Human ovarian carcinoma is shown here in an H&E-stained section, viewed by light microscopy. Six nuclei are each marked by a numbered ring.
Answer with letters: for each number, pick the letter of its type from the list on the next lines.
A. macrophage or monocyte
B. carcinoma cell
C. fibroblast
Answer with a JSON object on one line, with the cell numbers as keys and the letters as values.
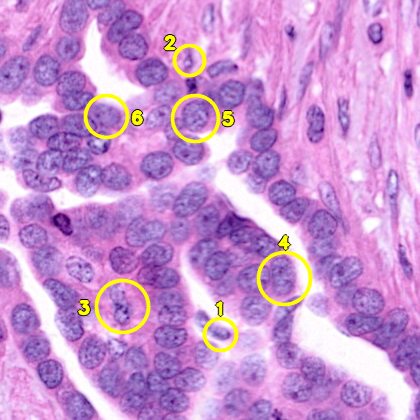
{"1": "A", "2": "C", "3": "A", "4": "B", "5": "B", "6": "B"}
